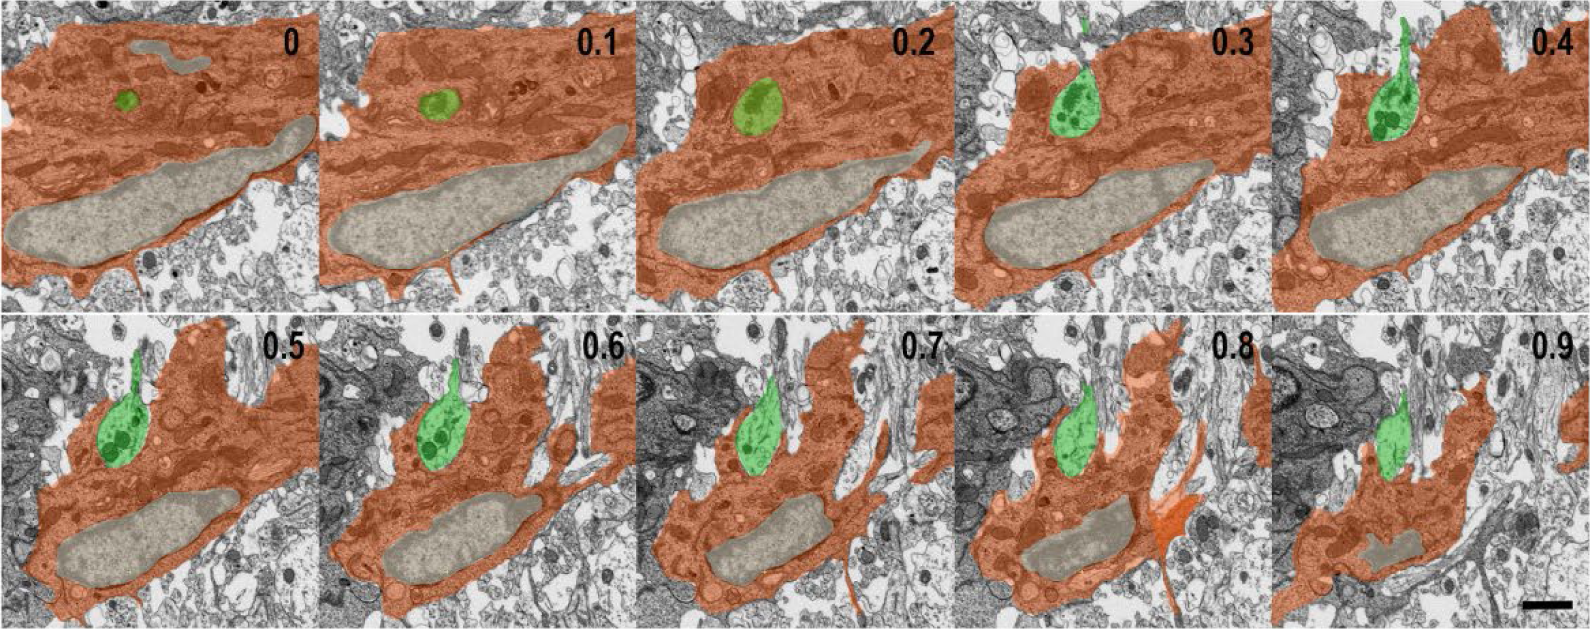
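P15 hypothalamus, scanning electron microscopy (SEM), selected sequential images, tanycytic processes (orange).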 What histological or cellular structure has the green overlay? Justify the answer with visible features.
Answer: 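The green profile has a thin stalk extending out of the orange area.
Pre-synaptic element.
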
